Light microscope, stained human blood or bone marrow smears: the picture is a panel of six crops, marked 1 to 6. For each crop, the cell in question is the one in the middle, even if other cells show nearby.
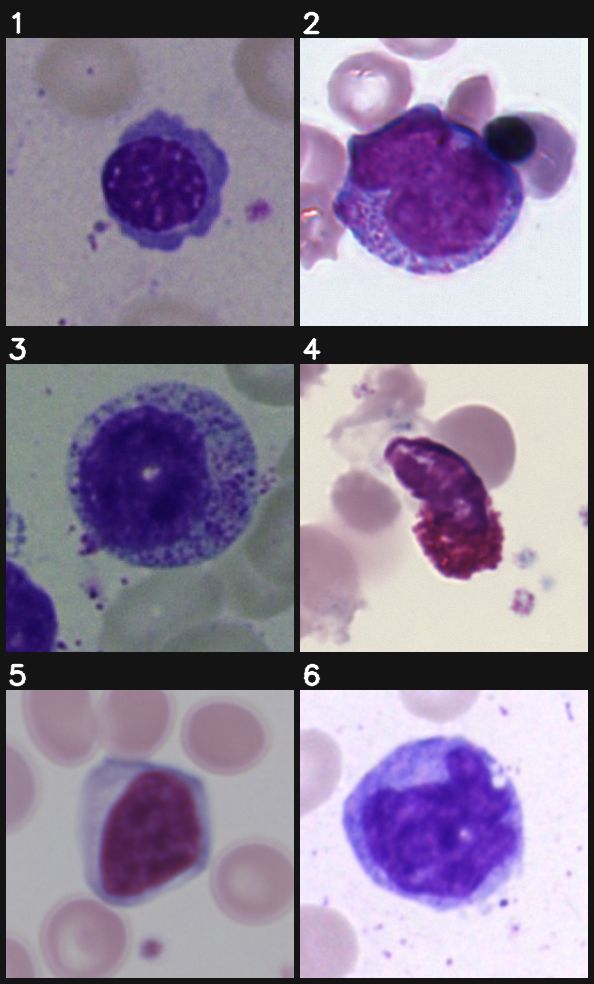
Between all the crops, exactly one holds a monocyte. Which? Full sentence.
The crop marked 6 is the one in which a monocyte is shown.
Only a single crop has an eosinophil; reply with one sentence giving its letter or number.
The crop in which an eosinophil is shown is crop 4.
